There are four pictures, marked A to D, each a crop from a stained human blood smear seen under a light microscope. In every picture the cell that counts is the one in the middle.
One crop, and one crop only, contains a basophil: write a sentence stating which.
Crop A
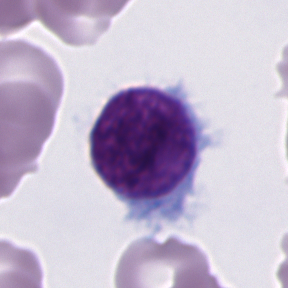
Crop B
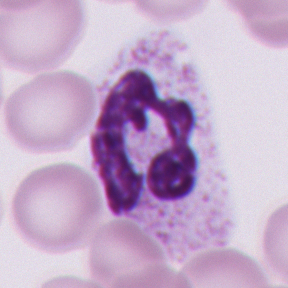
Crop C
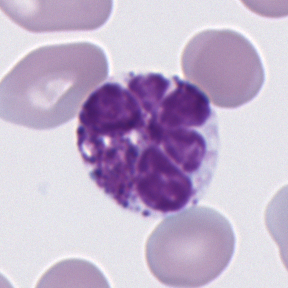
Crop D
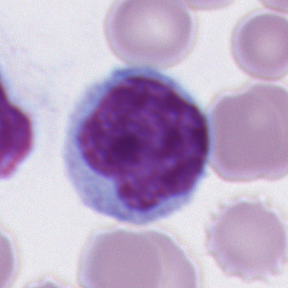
So the crop with a basophil at its center is crop C.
